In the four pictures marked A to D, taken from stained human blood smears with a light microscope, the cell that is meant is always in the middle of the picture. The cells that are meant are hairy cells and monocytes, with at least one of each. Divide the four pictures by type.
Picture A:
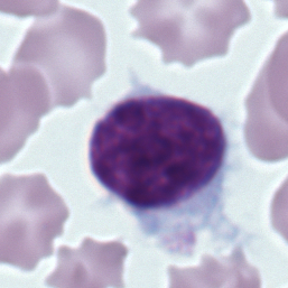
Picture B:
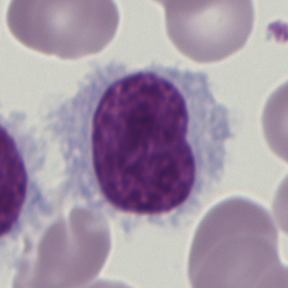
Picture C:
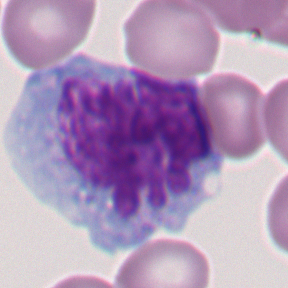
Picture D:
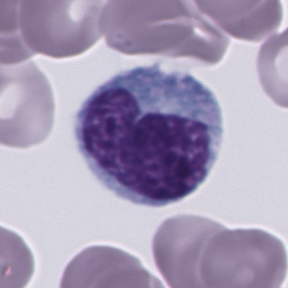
A: hairy cell
B: hairy cell
C: monocyte
D: monocyte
